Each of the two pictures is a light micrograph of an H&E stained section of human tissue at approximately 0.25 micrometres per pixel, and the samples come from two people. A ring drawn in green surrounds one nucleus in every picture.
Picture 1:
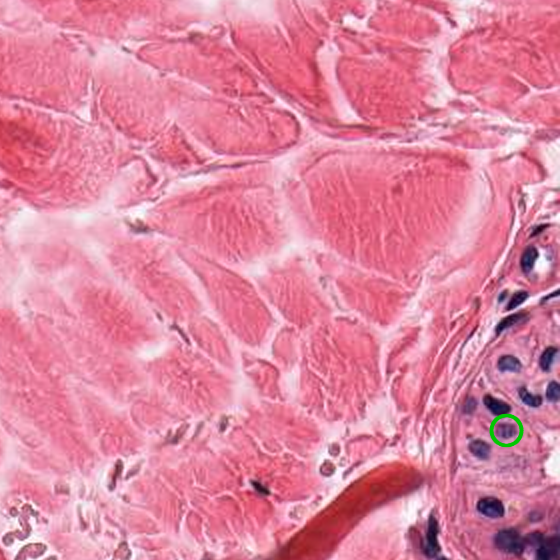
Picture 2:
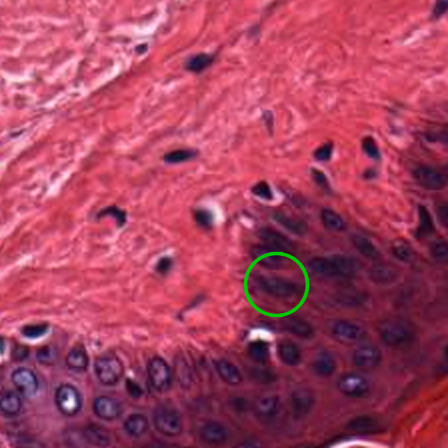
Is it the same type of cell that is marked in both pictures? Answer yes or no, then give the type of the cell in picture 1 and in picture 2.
No, the first is a sweat gland cell and the second a keratinocyte.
